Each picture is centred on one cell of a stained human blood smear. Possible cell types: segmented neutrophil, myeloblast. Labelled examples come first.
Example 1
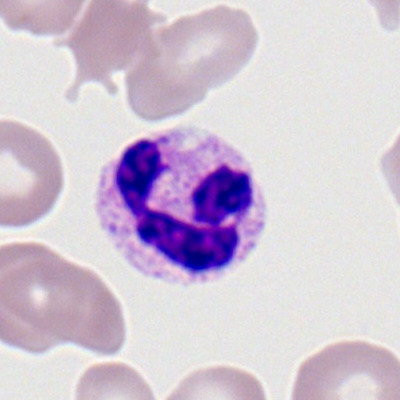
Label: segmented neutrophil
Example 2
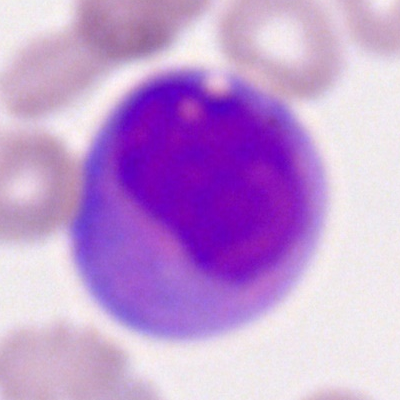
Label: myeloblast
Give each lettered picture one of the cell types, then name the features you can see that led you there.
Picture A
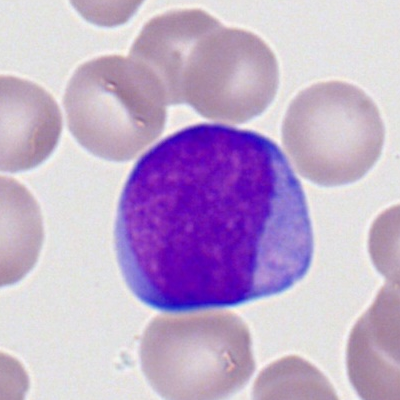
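myeloblast. Evidence: The cytoplasm is stained blue.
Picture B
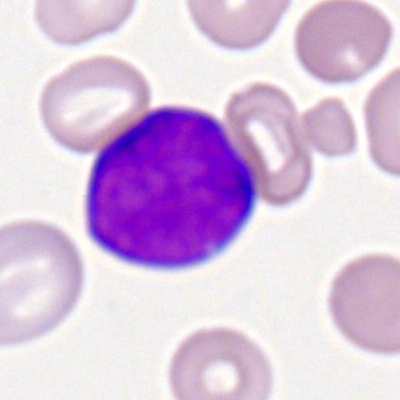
myeloblast. Evidence: The thin rim at the cell's edge is deep blue.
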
